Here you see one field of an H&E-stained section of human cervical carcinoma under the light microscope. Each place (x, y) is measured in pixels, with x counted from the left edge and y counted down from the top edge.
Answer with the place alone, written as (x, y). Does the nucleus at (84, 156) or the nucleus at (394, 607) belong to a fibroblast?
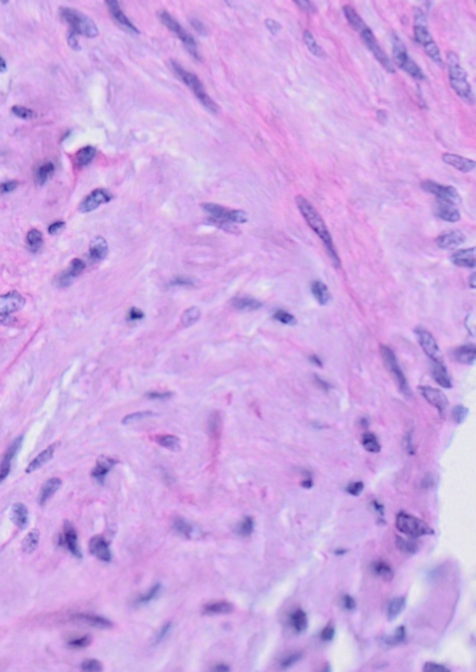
(394, 607)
